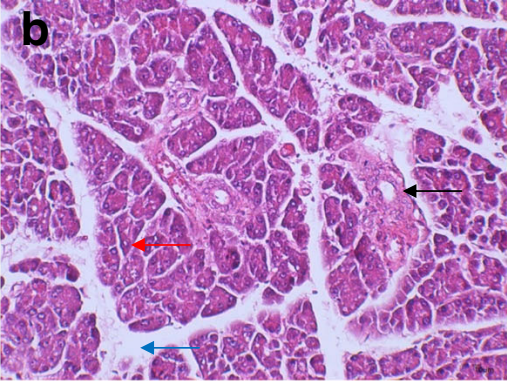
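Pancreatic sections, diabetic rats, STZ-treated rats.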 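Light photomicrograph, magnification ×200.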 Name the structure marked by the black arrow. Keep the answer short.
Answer: Interlobular ducts.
